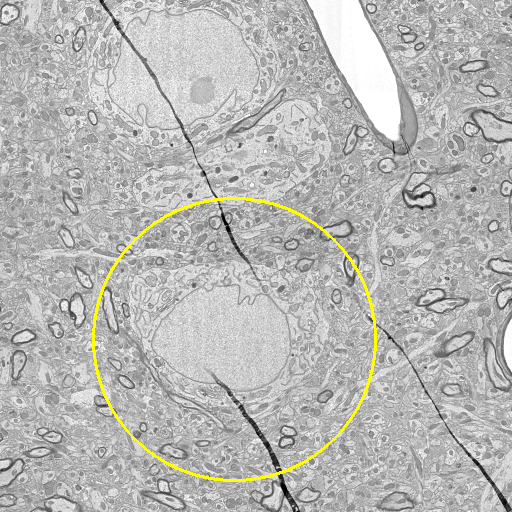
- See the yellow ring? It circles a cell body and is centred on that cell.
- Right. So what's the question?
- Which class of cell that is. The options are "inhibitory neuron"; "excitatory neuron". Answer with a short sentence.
The centre of the ring holds an inhibitory neuron.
